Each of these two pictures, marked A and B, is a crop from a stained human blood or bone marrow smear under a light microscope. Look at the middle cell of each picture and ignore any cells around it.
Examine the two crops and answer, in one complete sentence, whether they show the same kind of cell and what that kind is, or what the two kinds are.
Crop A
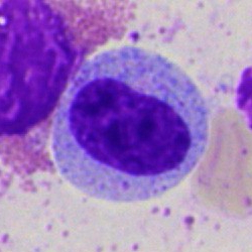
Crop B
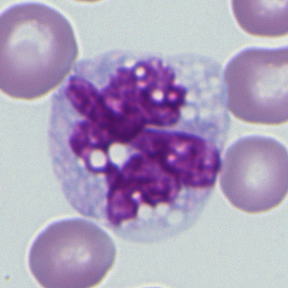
No, crop A shows a myelocyte and crop B a monocyte.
